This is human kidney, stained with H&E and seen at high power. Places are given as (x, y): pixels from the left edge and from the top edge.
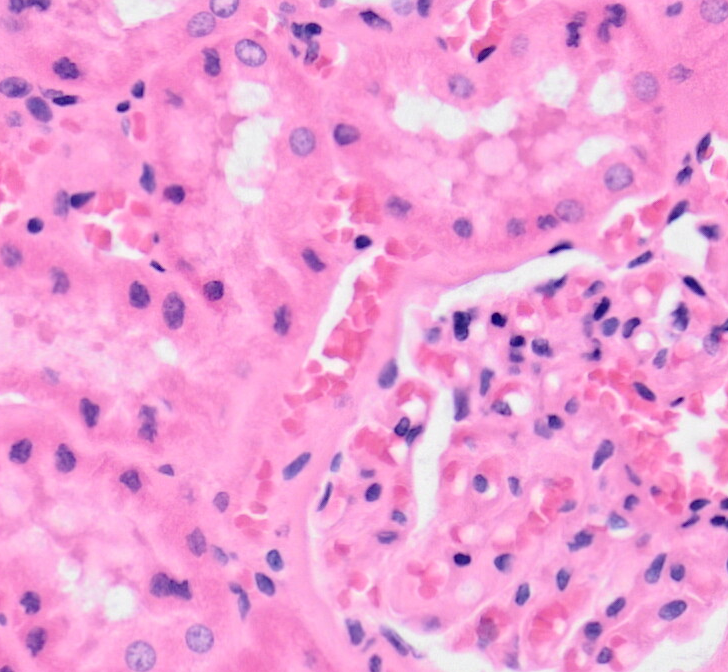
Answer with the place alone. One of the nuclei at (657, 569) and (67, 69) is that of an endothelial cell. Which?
(657, 569)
